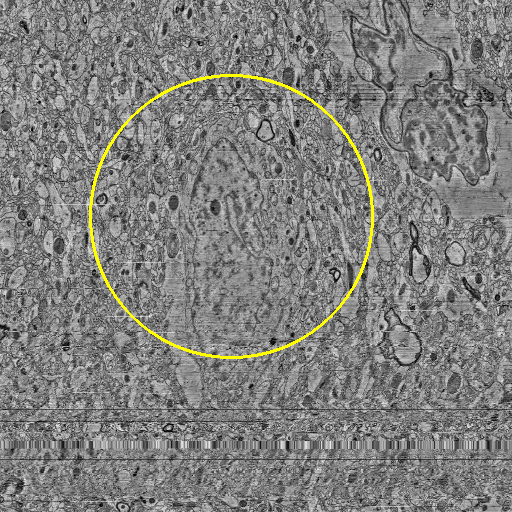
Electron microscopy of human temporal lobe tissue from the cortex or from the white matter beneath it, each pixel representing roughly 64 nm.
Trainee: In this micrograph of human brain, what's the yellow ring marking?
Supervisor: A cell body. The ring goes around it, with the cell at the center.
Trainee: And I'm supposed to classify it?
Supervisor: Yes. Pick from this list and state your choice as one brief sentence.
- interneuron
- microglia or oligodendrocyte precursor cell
The cell at the ring's center is an interneuron.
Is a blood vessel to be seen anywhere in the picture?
Yes, the image shows a blood vessel.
